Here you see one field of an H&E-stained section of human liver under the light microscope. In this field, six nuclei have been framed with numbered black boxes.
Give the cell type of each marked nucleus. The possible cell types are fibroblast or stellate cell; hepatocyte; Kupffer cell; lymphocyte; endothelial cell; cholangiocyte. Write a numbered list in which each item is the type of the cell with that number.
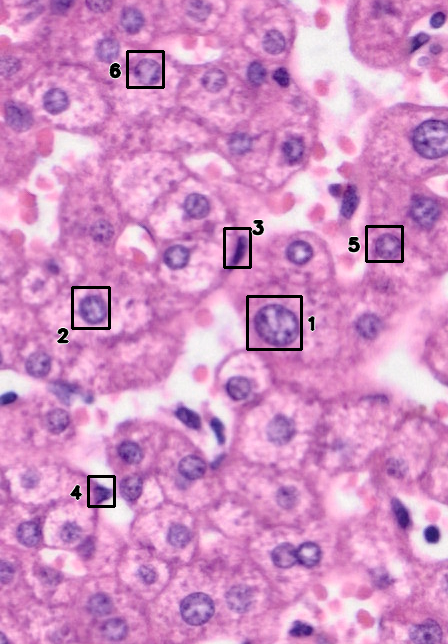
1. hepatocyte
2. hepatocyte
3. fibroblast or stellate cell
4. endothelial cell
5. hepatocyte
6. hepatocyte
